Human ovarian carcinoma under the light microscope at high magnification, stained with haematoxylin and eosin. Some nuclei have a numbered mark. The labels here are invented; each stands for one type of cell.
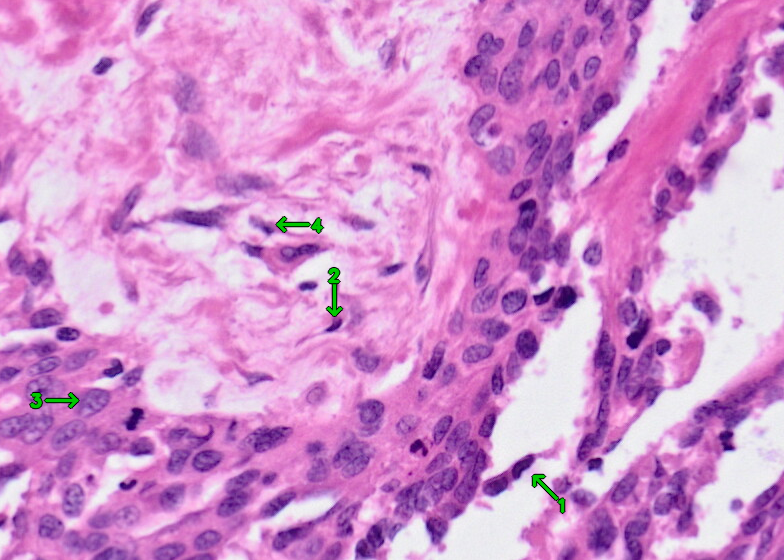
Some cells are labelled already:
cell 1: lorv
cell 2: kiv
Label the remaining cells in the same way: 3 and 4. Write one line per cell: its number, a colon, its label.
3: lorv
4: kiv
